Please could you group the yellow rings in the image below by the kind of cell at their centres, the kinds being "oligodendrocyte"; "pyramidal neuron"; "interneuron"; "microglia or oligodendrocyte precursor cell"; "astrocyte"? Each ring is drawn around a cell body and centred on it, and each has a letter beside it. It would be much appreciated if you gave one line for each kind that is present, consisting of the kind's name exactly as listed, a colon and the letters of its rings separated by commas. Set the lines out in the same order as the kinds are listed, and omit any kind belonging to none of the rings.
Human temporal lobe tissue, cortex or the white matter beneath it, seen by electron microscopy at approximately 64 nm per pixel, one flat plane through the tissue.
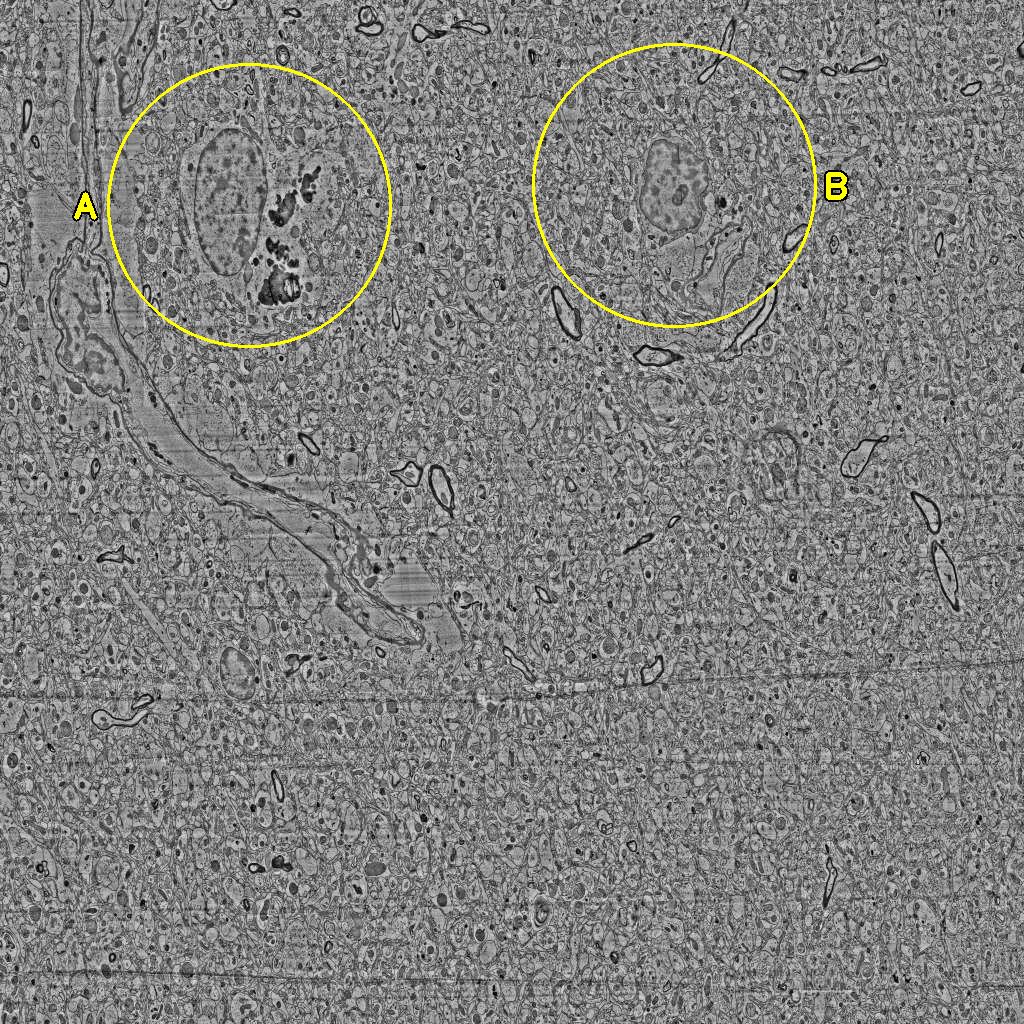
oligodendrocyte: B
astrocyte: A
